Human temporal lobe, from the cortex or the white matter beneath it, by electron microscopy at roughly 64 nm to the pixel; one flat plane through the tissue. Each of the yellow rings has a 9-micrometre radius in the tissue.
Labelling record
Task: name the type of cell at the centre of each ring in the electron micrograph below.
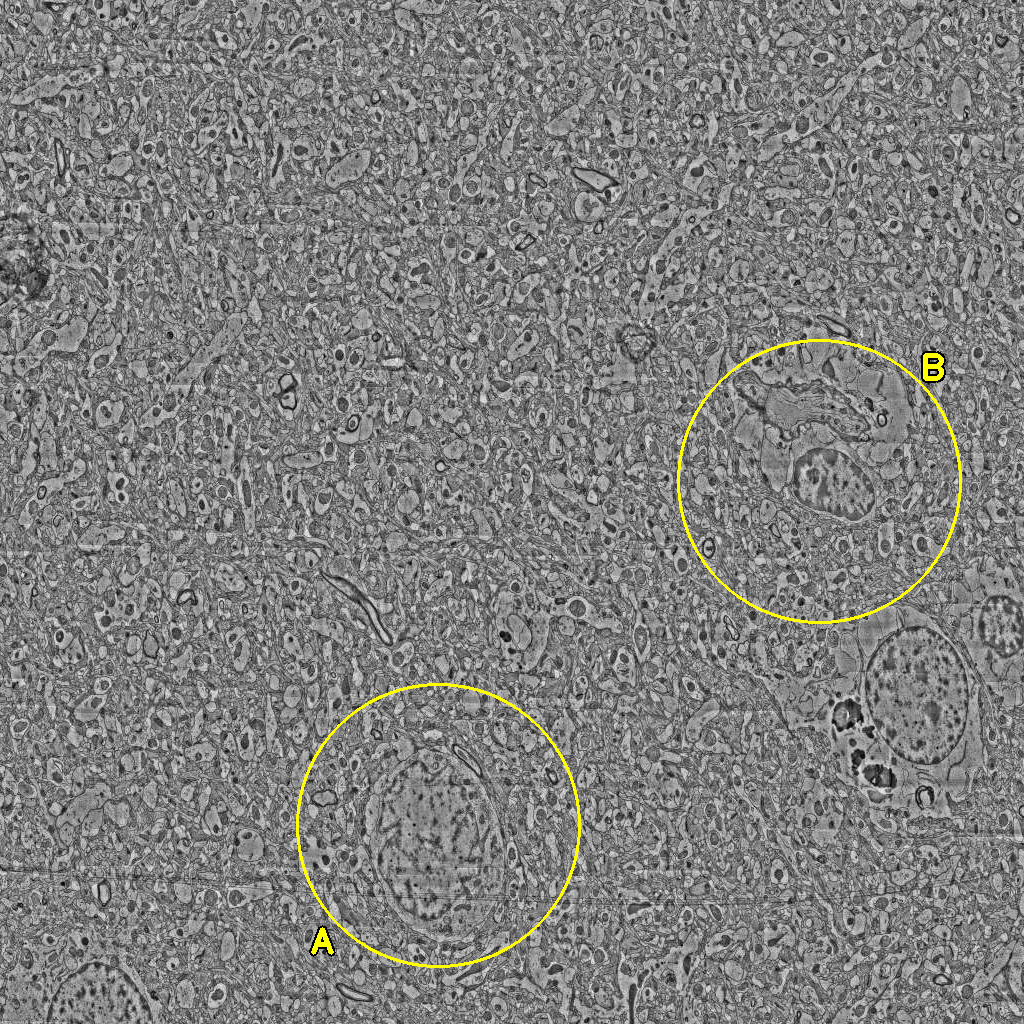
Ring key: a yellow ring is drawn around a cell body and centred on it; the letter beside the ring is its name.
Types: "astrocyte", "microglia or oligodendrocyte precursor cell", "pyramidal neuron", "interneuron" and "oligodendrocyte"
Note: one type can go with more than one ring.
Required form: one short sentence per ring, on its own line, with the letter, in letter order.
In ring A, the centred cell is an interneuron.
In ring B, the centred cell is a microglial cell or oligodendrocyte precursor cell.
